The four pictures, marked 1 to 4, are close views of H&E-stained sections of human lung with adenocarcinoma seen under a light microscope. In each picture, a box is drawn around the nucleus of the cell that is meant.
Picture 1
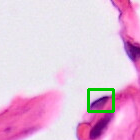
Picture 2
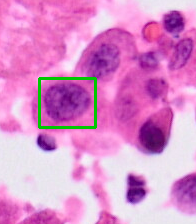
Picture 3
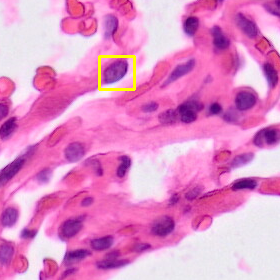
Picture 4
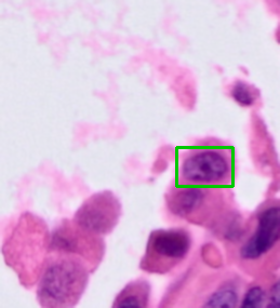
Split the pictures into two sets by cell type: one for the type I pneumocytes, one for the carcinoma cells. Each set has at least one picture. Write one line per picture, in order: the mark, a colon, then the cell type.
1: type I pneumocyte
2: carcinoma cell
3: type I pneumocyte
4: carcinoma cell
